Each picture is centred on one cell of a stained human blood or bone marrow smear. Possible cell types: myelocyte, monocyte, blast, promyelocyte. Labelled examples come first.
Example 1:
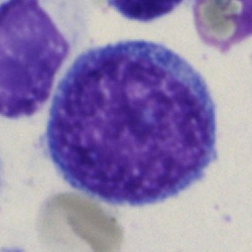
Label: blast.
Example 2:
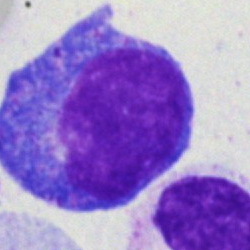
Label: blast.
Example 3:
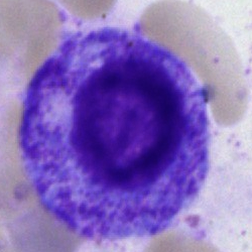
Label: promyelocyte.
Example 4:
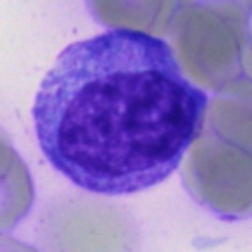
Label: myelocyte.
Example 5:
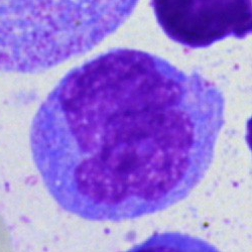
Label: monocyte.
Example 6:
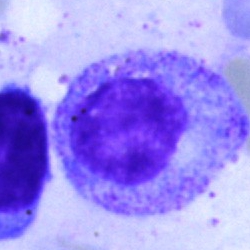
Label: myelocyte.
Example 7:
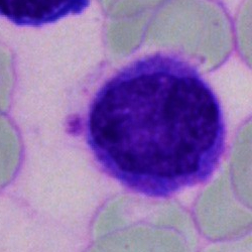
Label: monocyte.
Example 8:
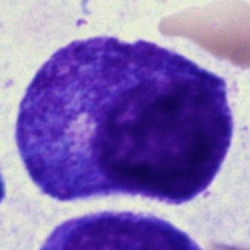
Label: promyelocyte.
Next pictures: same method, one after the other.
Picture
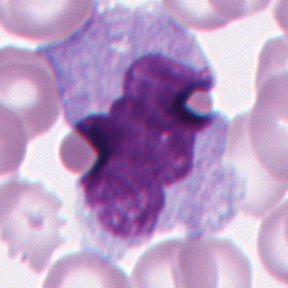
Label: monocyte.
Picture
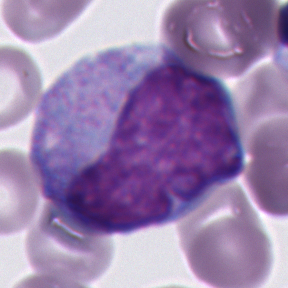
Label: promyelocyte.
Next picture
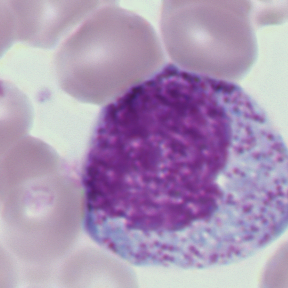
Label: myelocyte.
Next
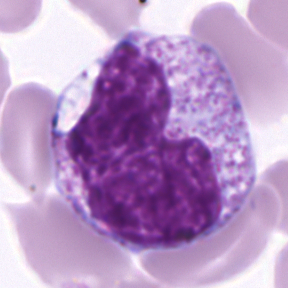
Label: myelocyte.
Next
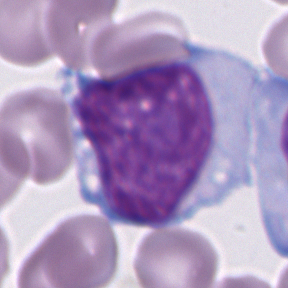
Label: blast.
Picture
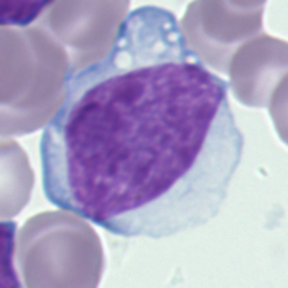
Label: blast.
